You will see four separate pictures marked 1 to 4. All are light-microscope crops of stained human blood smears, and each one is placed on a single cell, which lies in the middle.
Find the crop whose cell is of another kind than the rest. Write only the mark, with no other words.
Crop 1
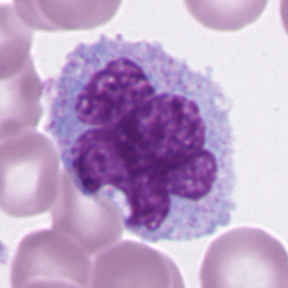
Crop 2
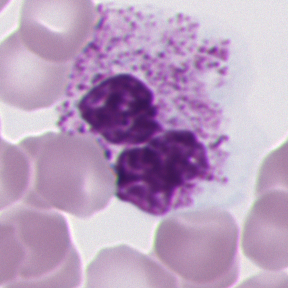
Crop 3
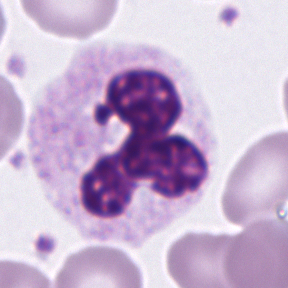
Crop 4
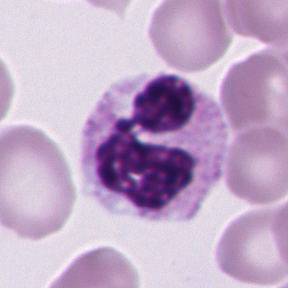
1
